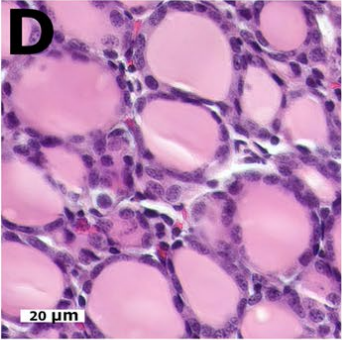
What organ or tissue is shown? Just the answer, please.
Thyroid.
